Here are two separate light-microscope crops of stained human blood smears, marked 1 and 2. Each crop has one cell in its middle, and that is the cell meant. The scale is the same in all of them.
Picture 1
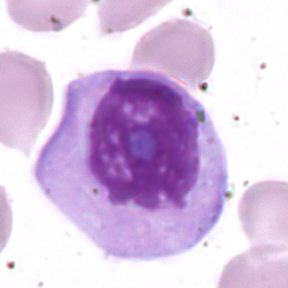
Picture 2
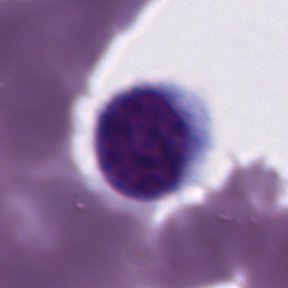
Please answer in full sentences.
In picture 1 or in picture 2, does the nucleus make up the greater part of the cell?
In picture 2 the nucleus takes up the larger part of its cell.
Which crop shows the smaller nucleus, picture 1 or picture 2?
It is the nucleus in picture 2; the one in picture 1 has about 1.5 times its area.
